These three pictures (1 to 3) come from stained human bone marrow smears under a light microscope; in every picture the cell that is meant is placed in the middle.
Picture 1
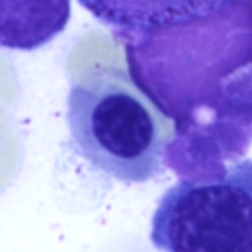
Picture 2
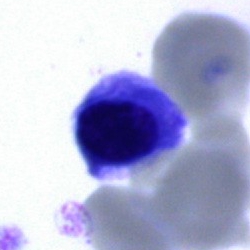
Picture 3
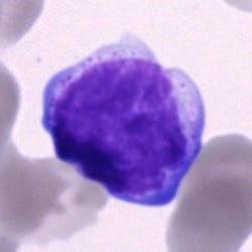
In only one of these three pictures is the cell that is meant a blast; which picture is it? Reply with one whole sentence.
The cell in picture 3 is the blast.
